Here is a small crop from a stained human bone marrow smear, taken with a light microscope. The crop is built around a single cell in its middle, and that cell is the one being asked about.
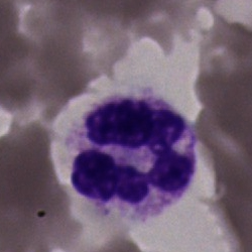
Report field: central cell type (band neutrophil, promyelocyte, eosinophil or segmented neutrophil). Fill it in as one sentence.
On this slide crop, the central cell is a segmented neutrophil.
